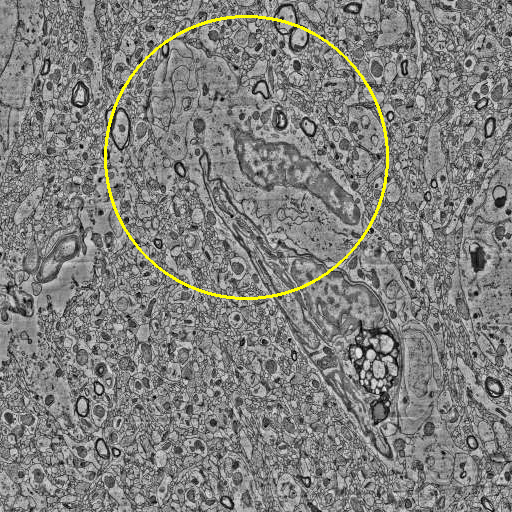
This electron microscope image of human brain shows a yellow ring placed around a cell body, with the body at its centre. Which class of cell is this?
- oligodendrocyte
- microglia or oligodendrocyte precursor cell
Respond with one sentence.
The cell body at the ring's centre is a microglial cell or oligodendrocyte precursor cell.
